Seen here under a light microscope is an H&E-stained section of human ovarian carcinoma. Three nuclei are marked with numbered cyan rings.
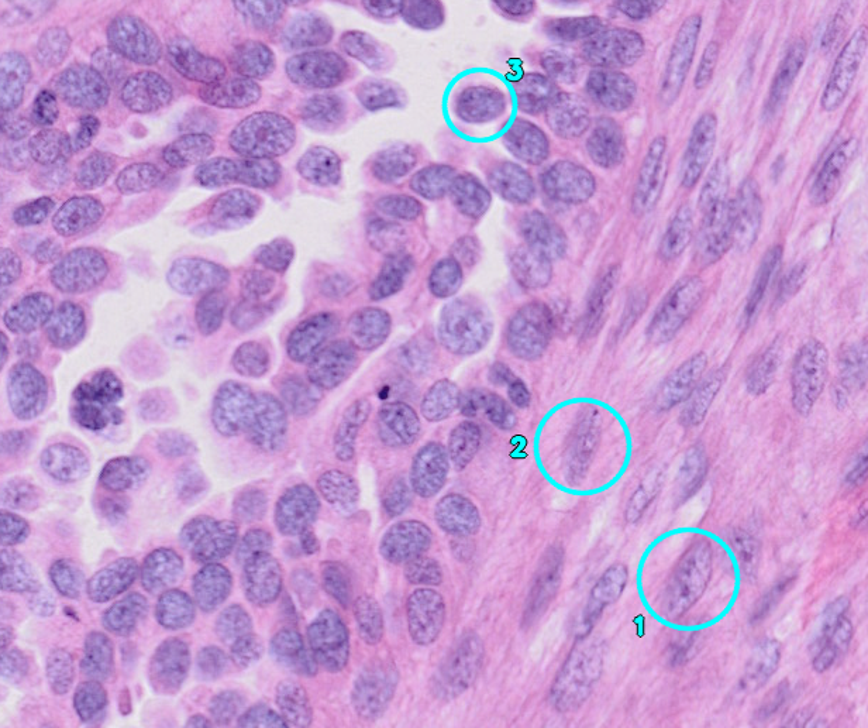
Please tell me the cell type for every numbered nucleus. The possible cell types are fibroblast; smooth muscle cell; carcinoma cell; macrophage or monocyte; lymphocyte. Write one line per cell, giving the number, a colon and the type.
1: fibroblast
2: fibroblast
3: carcinoma cell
